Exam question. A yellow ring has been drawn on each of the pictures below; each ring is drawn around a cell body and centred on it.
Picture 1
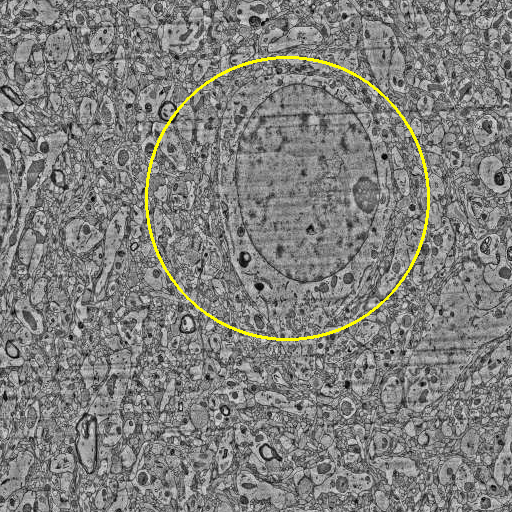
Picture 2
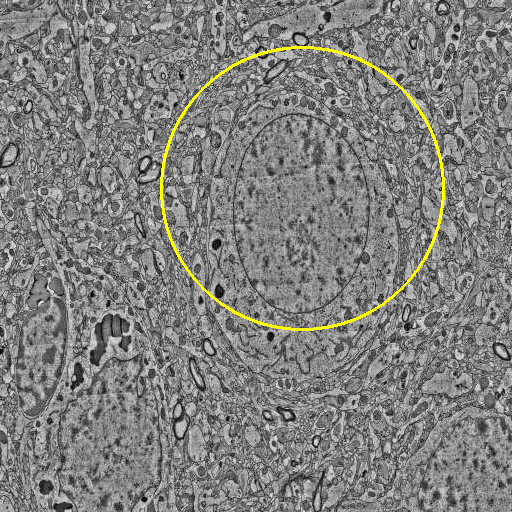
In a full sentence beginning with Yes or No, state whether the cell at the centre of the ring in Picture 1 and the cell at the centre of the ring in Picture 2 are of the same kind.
Yes, the two cells are of the same kind.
